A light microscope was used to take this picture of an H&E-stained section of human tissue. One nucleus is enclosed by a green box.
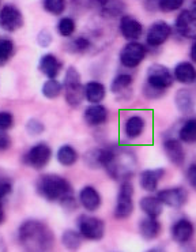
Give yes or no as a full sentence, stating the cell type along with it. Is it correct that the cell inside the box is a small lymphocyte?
Yes, the identity of the cell inside the box is that of a small lymphocyte.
